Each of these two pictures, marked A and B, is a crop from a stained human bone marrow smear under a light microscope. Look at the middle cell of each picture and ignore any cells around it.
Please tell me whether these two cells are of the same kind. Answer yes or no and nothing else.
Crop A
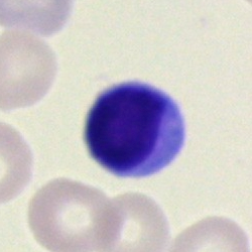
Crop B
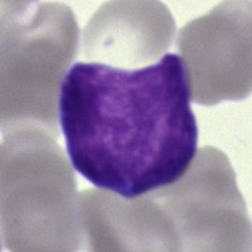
no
